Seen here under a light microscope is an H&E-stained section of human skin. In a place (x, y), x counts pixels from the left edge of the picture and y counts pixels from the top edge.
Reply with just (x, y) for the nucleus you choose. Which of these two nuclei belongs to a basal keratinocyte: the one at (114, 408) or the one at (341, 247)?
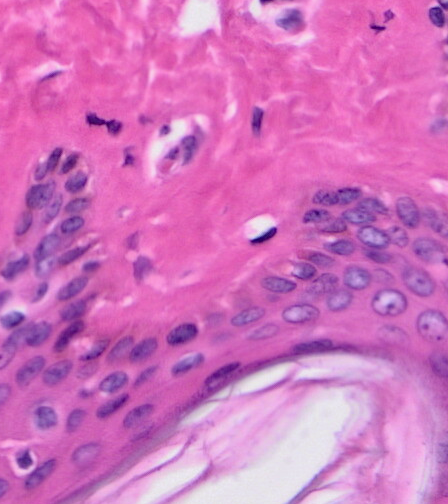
(341, 247)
